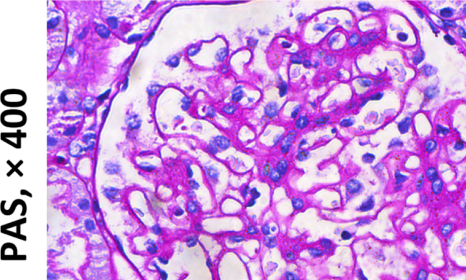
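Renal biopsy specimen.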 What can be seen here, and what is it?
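Glomerulus in kidney cortex, a lobulated capillary tuft filling most of a thin-walled capsule, with tubules around it. Capillary walls and the stalk-like matrix between loops stain deep magenta and look thickened and prominent. Blue-purple nuclei are scattered through the tuft, and many loops remain open.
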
